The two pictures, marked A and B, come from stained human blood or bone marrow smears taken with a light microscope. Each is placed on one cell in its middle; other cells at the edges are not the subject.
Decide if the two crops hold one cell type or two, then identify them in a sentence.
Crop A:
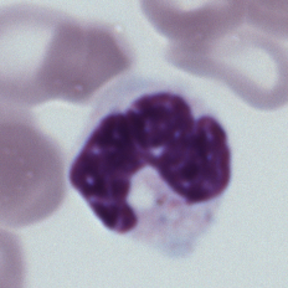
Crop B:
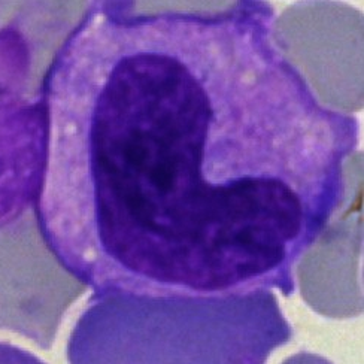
No, the middle of crop A holds a segmented neutrophil, and the middle of crop B holds a monocyte.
